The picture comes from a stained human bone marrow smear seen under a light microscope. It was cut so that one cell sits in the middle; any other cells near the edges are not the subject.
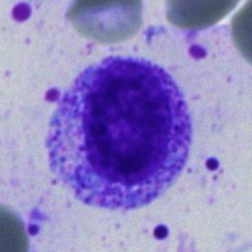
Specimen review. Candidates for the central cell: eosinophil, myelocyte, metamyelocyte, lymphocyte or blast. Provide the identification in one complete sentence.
At the middle of the frame sits a myelocyte.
